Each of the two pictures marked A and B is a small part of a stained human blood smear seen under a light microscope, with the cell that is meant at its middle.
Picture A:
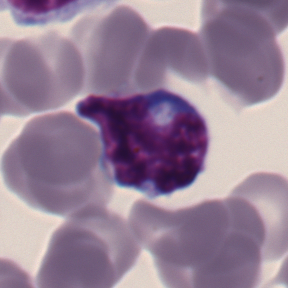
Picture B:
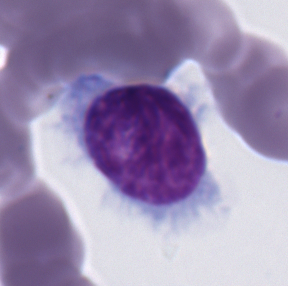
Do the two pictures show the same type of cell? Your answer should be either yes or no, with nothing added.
no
